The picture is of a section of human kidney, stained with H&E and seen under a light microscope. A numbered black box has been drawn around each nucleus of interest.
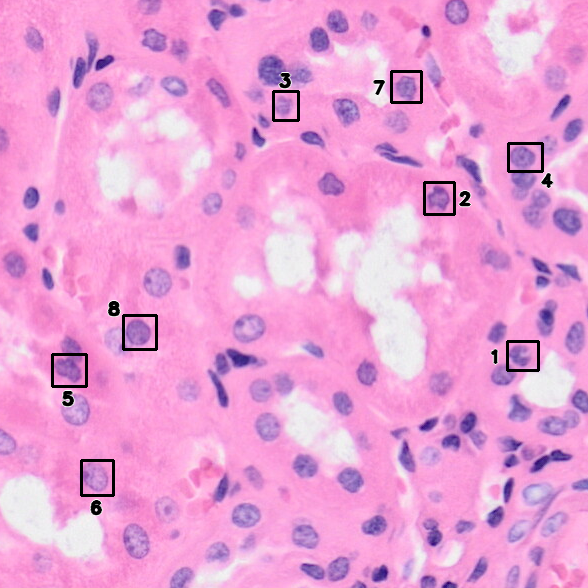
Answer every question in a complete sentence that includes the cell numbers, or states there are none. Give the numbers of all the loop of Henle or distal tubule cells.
So, the cells with numbers 3 and 7 are loop of Henle or distal tubule cells.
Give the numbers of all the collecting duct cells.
On this slide, the cells numbered 1 and 4 are collecting duct cells.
